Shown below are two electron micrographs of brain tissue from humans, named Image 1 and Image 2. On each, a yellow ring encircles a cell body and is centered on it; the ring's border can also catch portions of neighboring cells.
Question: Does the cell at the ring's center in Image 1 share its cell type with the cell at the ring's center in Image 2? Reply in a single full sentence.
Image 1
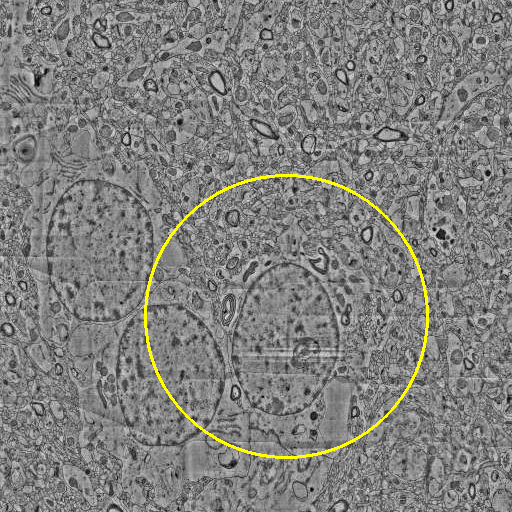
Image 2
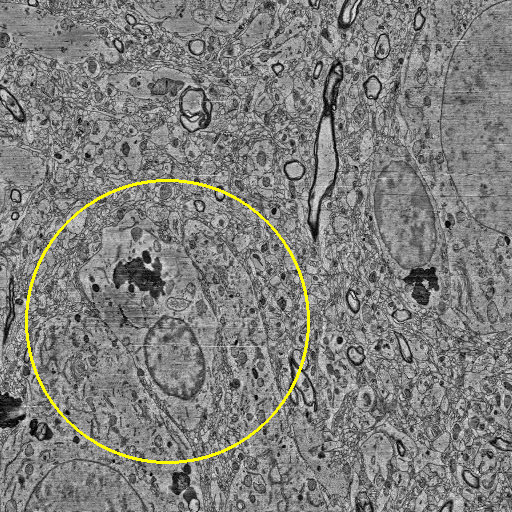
Yes, the two cells at the ring centers, in Image 1 and Image 2, share one cell type.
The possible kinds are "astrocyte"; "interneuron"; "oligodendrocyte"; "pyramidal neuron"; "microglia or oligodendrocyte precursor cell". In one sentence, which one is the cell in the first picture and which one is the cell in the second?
In the first picture and in the second, the ring is centred on an astrocyte.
